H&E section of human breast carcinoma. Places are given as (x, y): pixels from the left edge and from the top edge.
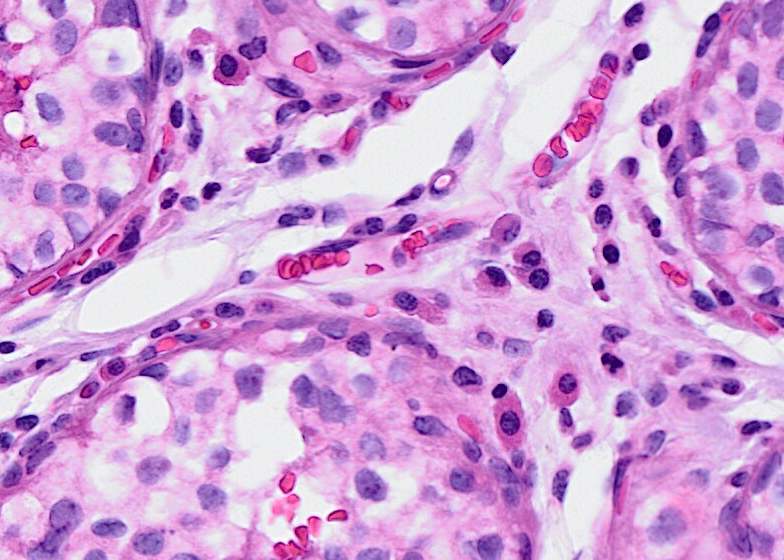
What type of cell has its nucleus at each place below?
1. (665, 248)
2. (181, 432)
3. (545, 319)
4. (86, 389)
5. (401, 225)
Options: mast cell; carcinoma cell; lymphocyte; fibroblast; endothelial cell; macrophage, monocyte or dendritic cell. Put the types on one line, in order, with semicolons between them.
endothelial cell; carcinoma cell; lymphocyte; endothelial cell; endothelial cell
